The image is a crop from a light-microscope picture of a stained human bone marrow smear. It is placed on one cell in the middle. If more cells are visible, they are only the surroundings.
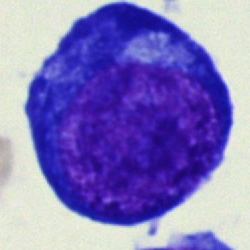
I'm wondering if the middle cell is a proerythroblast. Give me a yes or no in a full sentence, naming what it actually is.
Yes, the cell at the middle is a proerythroblast.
